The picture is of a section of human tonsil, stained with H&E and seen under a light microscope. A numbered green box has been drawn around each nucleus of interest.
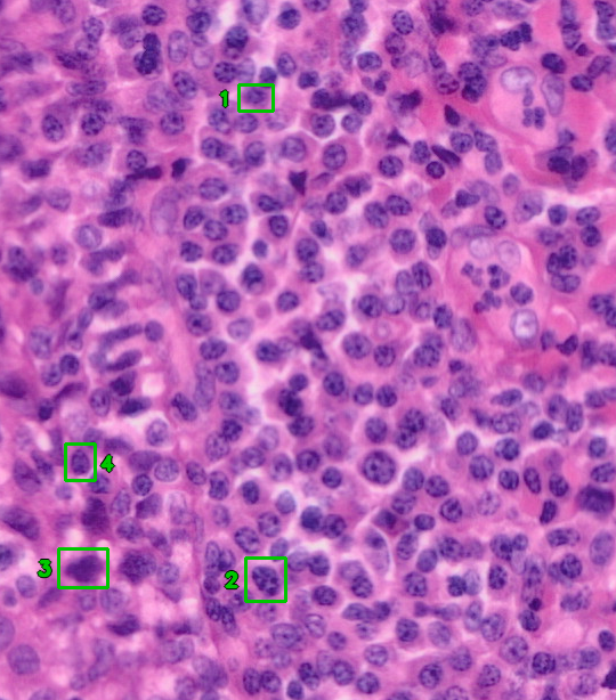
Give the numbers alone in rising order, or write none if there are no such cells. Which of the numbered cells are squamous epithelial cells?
3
